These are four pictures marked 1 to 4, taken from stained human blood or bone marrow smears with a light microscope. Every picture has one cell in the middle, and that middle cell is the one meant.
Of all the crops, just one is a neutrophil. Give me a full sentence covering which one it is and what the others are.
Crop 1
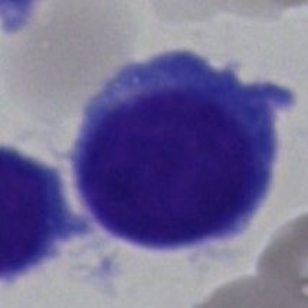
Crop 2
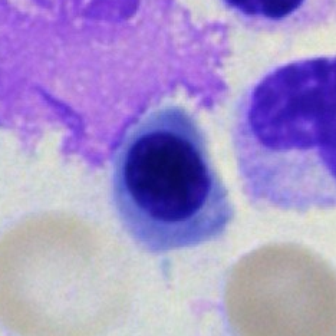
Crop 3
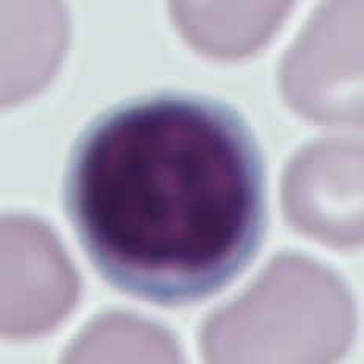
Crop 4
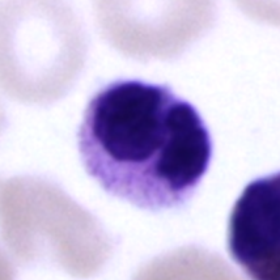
Concerning crop 4, the cell shown is a neutrophil, whereas crop 1 is a plasma cell, crop 2 is a normoblast and crop 3 is a lymphocyte.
